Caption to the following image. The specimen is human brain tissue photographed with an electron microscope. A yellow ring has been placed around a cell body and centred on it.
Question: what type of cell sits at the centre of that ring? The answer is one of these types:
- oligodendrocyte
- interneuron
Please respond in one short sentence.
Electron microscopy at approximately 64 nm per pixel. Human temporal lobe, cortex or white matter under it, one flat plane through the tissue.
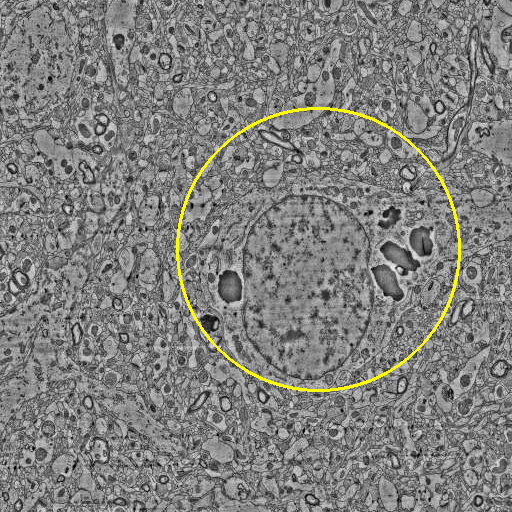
The ring surrounds the cell body of an interneuron.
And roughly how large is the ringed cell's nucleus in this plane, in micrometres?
Approximately 12 x 9 micrometres in this plane.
